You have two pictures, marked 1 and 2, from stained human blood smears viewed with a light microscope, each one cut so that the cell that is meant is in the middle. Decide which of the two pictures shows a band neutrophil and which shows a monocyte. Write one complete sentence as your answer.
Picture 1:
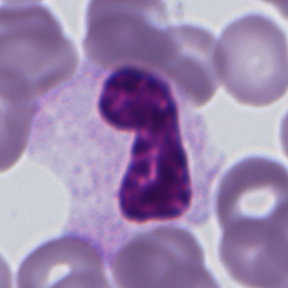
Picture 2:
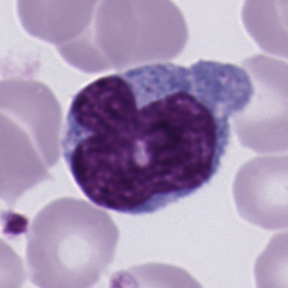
Picture 2 shows a monocyte, while picture 1 shows a band neutrophil.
